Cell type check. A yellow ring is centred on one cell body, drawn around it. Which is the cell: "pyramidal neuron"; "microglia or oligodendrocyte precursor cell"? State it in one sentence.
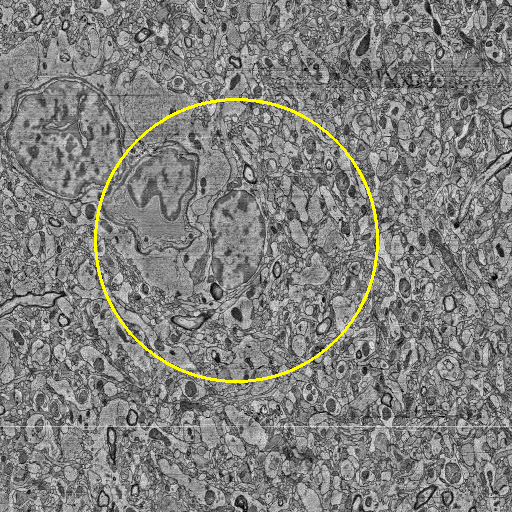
The cell body at the ring's centre belongs to a microglial cell or oligodendrocyte precursor cell.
